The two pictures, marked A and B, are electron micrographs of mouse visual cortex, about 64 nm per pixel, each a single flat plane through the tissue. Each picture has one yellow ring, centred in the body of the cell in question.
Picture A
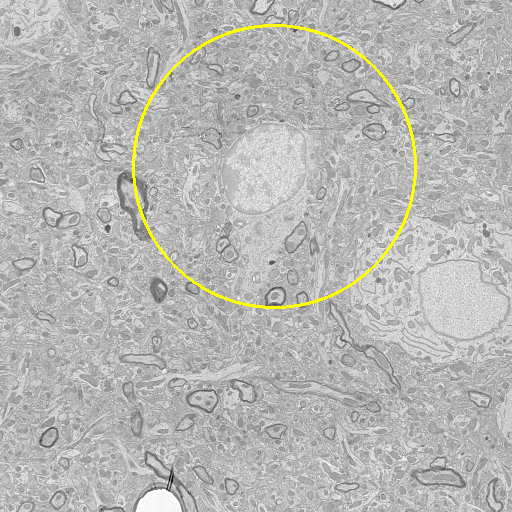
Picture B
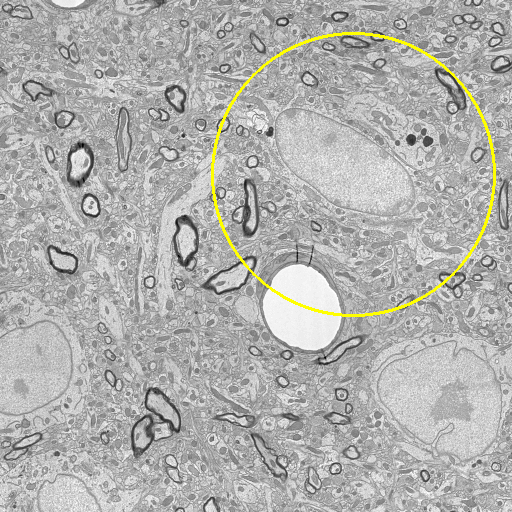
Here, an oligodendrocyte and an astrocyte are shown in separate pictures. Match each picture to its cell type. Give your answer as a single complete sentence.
Picture B shows an astrocyte, while picture A shows an oligodendrocyte.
